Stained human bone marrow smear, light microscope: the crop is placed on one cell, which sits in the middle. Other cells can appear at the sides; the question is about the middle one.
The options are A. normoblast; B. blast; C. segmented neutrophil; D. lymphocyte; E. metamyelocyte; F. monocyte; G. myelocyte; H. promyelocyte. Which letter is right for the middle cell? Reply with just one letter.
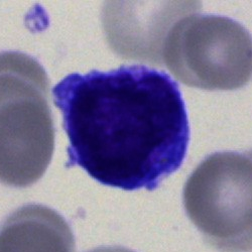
B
